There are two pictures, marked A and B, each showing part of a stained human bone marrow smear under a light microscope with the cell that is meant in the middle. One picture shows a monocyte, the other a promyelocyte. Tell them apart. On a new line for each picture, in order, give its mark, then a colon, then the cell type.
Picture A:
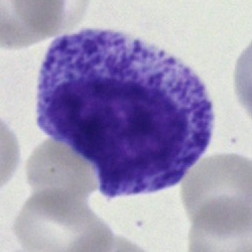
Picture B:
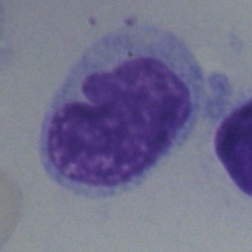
A: promyelocyte
B: monocyte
